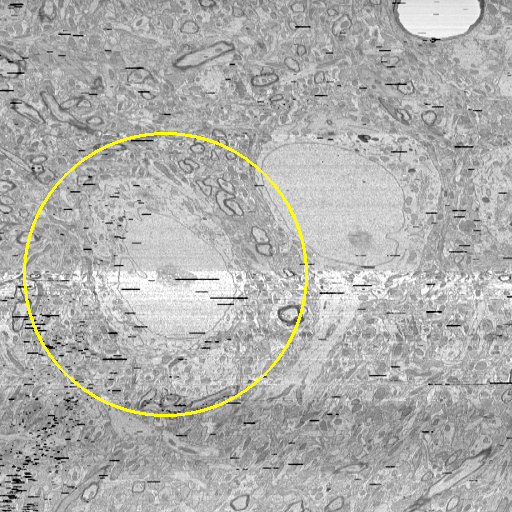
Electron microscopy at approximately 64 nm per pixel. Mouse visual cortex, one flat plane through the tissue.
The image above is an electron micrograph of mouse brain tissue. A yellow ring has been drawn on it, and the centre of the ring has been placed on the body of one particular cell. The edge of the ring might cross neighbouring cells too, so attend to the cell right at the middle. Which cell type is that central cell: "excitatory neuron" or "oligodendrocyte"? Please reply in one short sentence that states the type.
The central cell in the ring is an excitatory neuron.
